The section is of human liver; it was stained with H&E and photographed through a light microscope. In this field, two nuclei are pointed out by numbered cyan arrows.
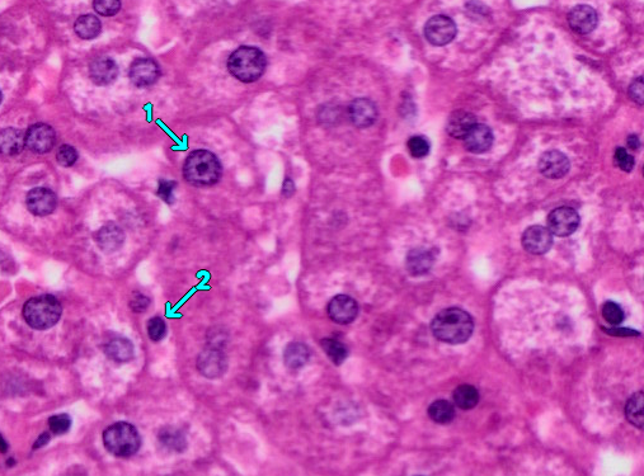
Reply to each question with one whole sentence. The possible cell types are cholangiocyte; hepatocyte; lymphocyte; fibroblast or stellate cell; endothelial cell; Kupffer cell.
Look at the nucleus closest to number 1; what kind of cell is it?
The nucleus nearest to number 1 is that of an endothelial cell.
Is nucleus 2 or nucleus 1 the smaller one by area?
Number 2 is smaller, since number 1 takes up about 2.5 times as much area.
